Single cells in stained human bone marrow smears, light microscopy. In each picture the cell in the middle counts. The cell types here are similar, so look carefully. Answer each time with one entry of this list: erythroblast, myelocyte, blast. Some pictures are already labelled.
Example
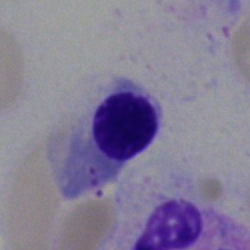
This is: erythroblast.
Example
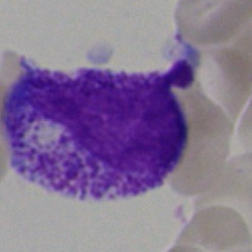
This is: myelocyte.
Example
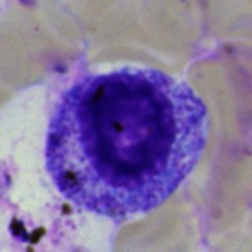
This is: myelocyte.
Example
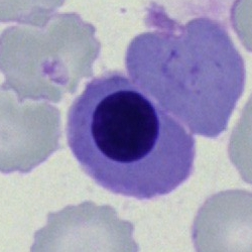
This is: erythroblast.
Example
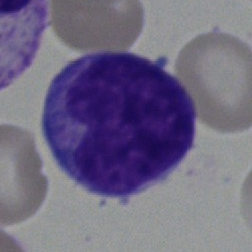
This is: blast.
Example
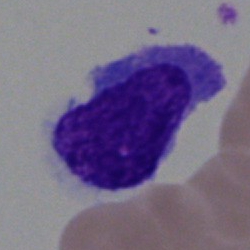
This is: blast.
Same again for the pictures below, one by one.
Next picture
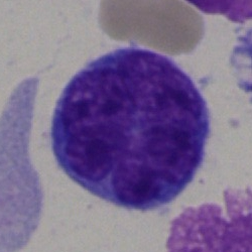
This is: blast.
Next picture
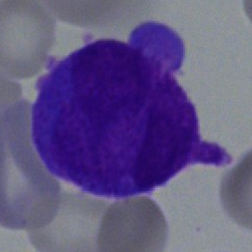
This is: blast.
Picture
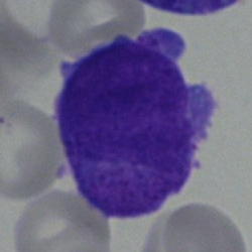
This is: blast.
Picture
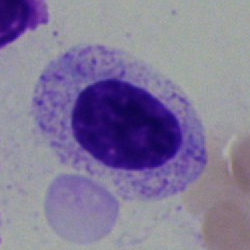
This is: myelocyte.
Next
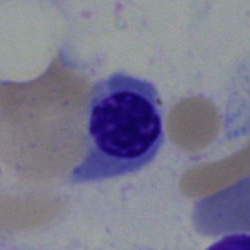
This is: erythroblast.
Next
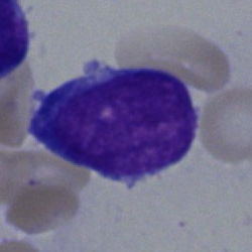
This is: blast.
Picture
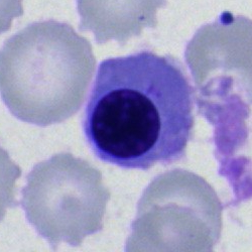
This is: erythroblast.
